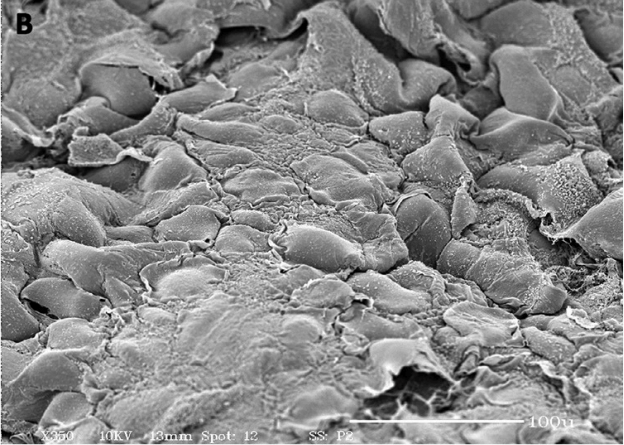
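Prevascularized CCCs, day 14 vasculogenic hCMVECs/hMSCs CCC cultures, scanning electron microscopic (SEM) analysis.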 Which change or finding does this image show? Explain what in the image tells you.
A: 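Cobble-stone appearance. Many polygonal, flattened cells lie packed side by side. The surface looks like paving stones separated by fine clefts.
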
